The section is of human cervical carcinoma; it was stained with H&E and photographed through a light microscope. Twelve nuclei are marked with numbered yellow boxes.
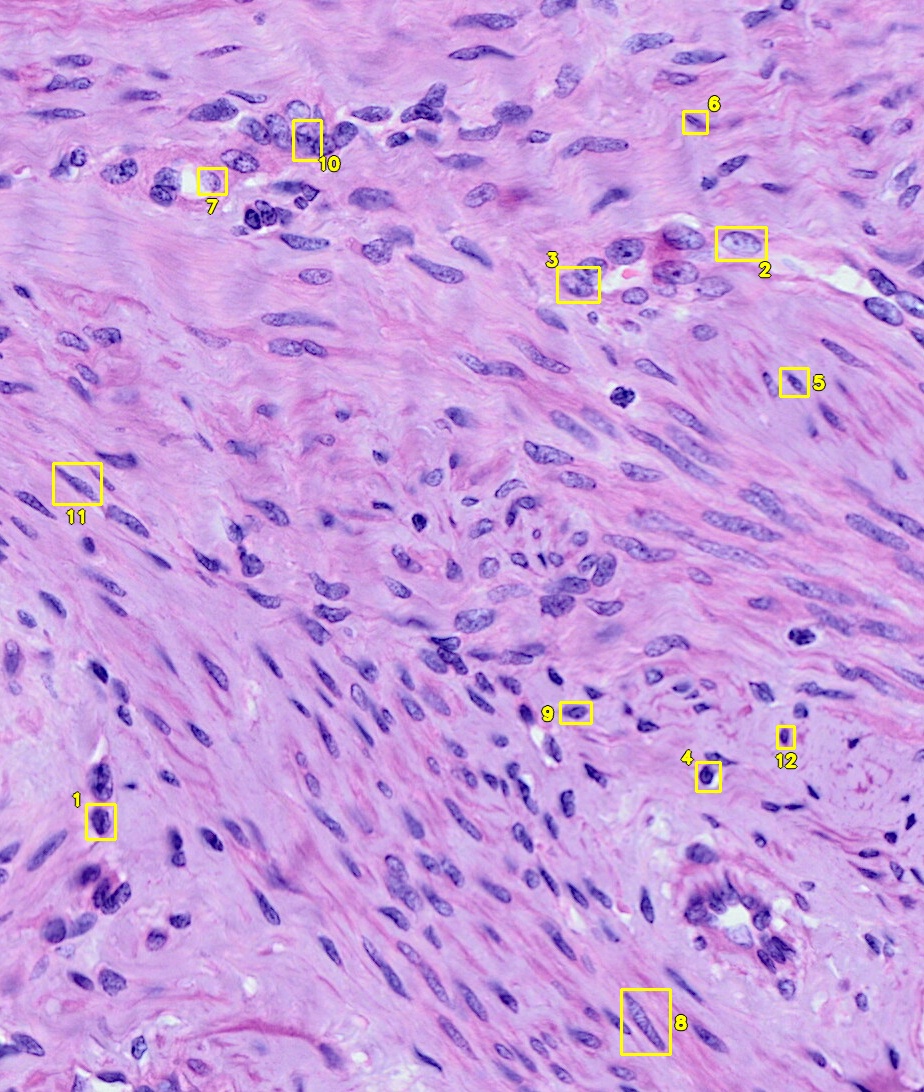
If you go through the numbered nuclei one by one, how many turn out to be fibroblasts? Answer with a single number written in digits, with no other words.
3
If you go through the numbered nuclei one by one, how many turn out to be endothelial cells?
4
